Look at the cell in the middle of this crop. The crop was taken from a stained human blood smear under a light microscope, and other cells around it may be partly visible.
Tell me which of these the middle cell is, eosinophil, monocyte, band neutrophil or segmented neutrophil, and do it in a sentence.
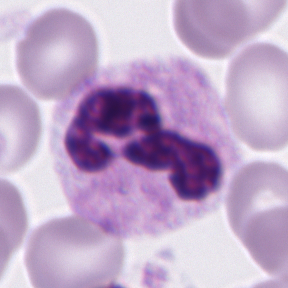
The cell around which this crop is centred is a segmented neutrophil.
